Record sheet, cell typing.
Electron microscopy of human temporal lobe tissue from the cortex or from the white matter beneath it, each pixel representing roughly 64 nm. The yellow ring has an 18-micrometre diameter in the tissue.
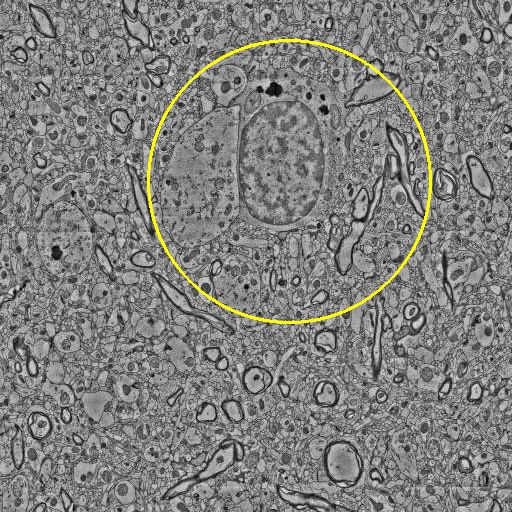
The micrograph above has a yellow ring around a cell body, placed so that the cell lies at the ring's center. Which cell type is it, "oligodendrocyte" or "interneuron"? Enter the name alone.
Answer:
oligodendrocyte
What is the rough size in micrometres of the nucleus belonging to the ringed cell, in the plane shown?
The nucleus works out at approximately 8 by 6 micrometres in this plane.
